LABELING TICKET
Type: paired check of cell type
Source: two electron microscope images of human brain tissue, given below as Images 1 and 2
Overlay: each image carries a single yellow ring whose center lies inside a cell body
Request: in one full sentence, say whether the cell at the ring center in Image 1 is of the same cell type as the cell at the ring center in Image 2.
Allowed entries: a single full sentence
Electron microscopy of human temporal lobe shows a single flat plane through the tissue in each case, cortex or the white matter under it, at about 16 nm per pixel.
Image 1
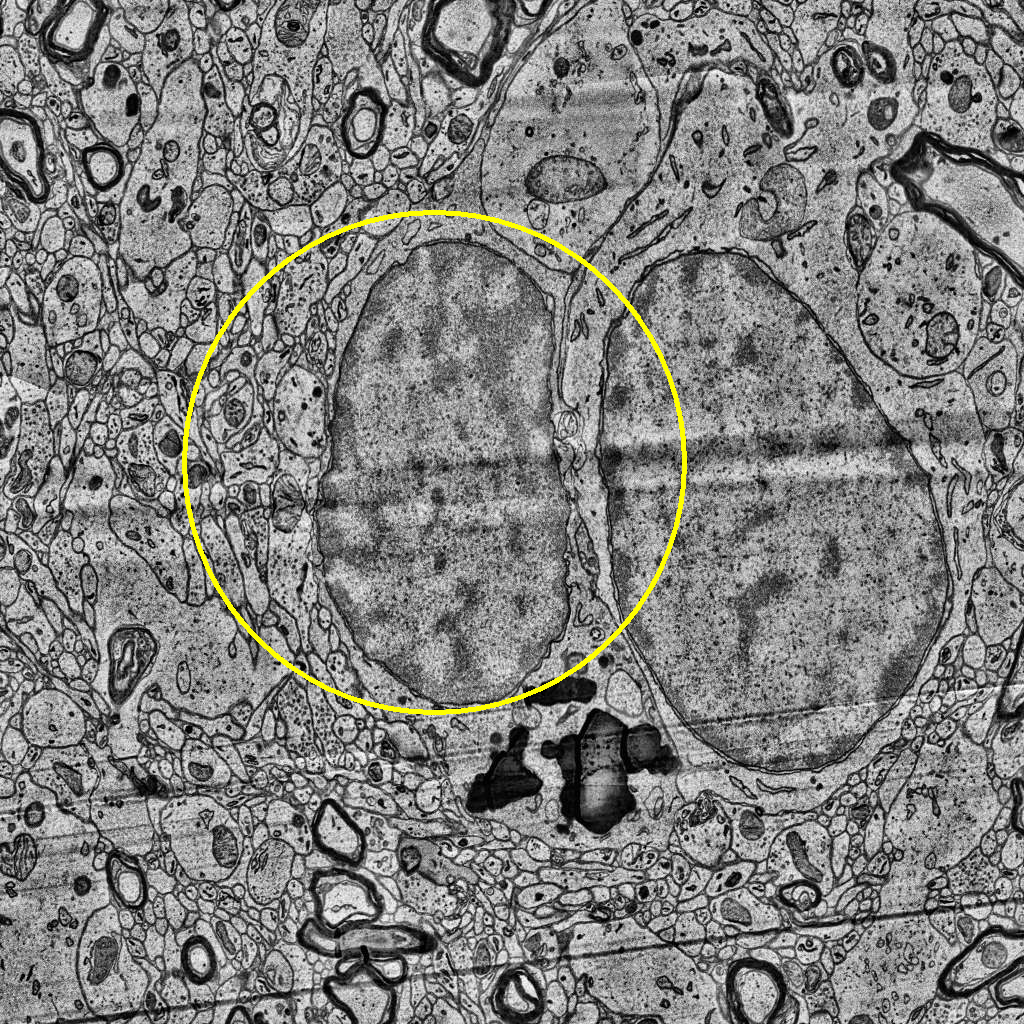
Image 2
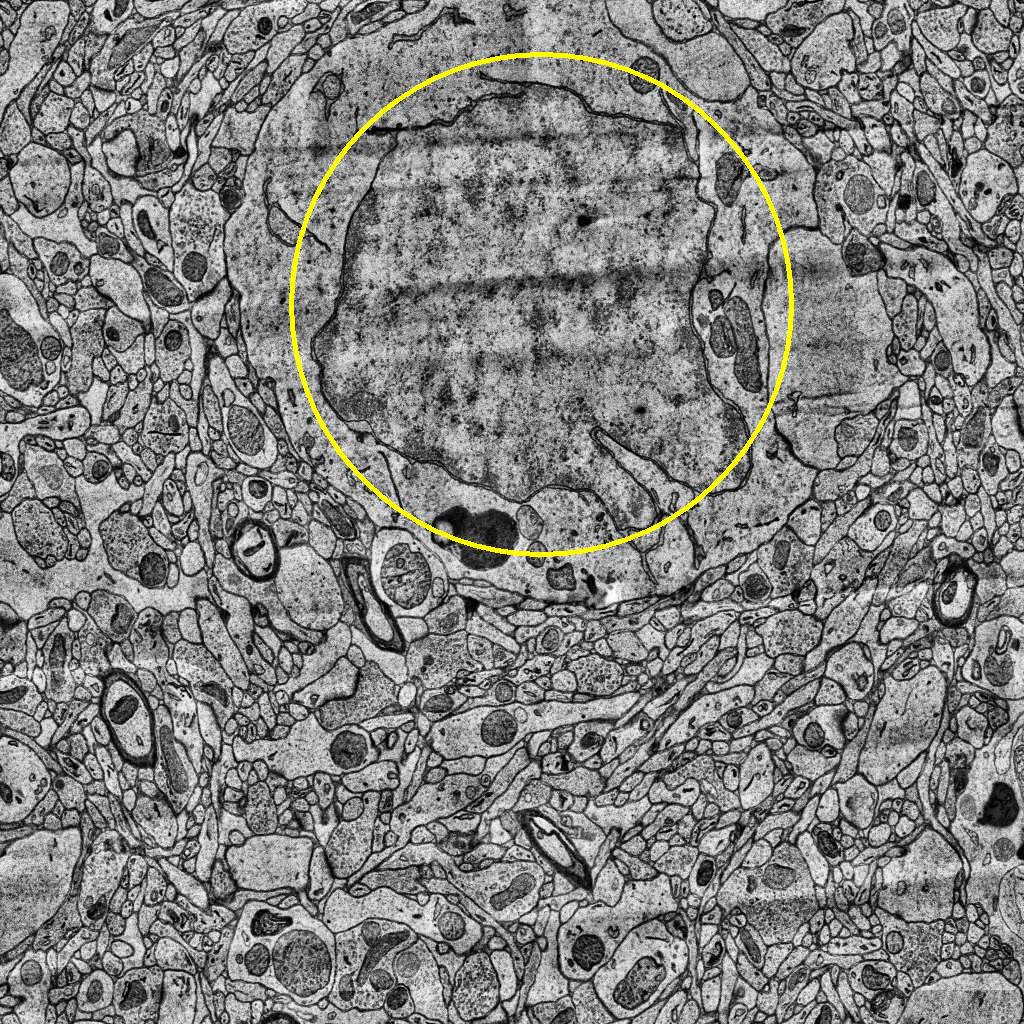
No, the cells at the ring centers of Image 1 and Image 2 are of two types.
